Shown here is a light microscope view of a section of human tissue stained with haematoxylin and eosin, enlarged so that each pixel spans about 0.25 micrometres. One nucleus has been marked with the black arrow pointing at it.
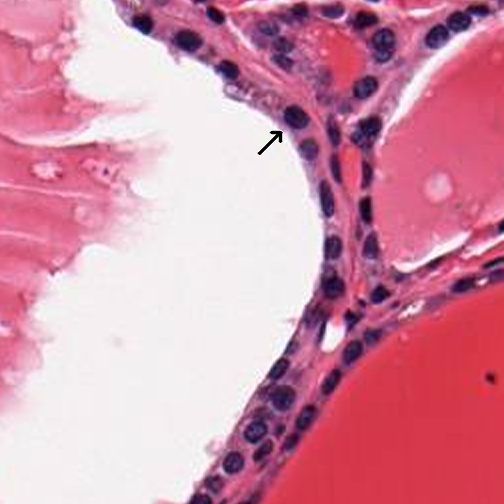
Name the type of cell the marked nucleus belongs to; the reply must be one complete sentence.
The marked nucleus is found in a thyroid follicular cell.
